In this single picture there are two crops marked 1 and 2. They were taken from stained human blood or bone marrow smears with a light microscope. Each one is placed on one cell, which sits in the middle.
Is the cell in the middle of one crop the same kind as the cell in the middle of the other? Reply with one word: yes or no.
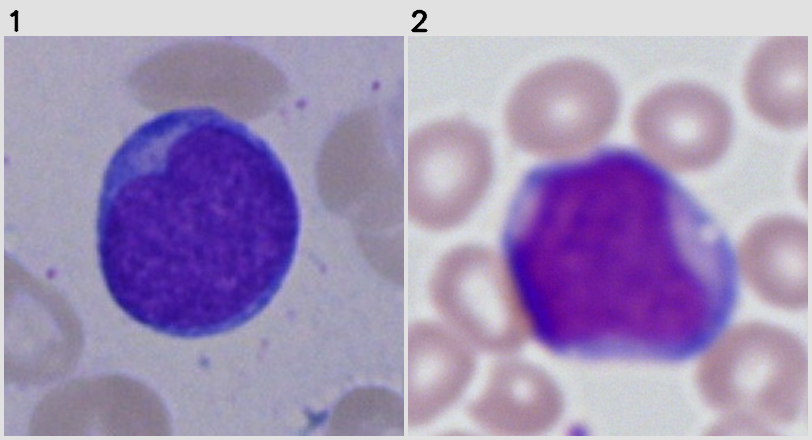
yes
